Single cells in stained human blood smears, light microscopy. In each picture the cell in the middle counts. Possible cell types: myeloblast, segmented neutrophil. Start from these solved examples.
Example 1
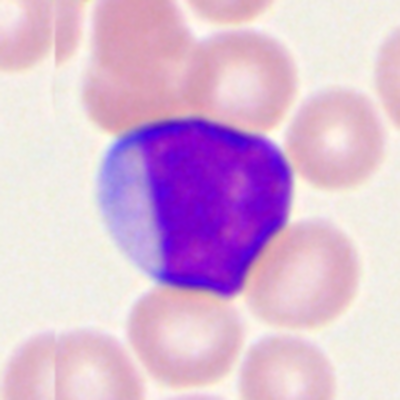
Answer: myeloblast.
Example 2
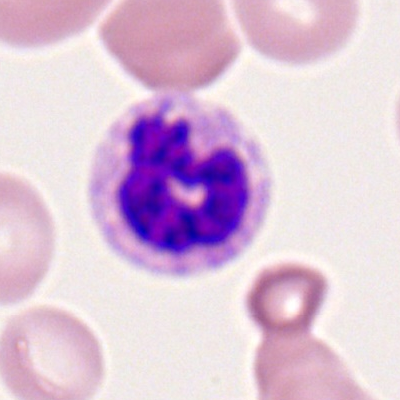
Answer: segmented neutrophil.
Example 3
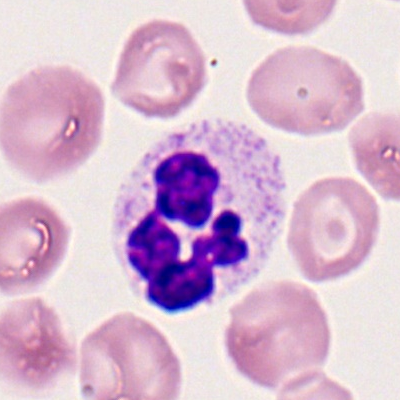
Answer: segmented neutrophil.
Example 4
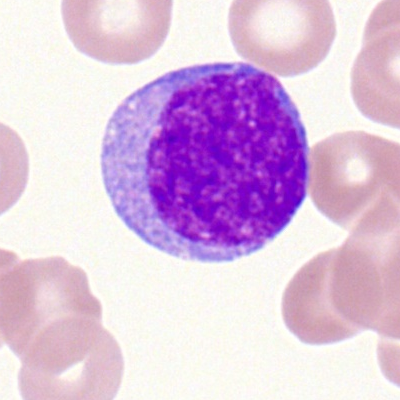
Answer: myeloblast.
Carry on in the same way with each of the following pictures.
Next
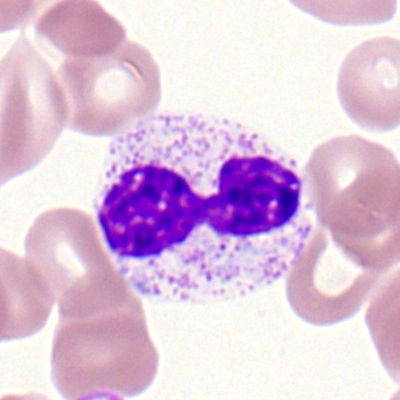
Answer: segmented neutrophil.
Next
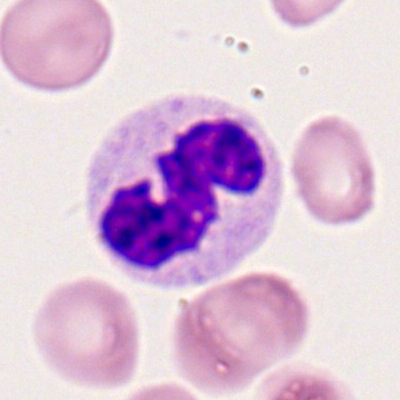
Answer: segmented neutrophil.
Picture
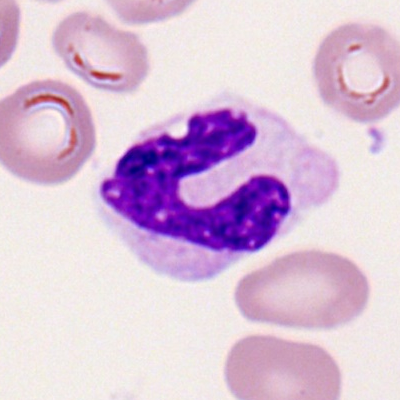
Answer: segmented neutrophil.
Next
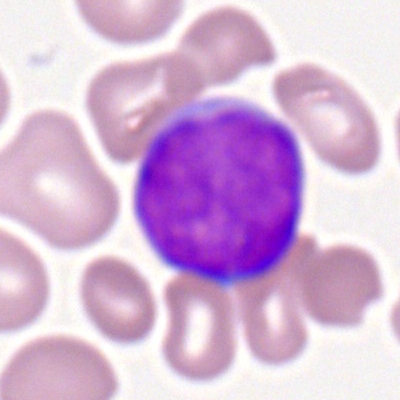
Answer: myeloblast.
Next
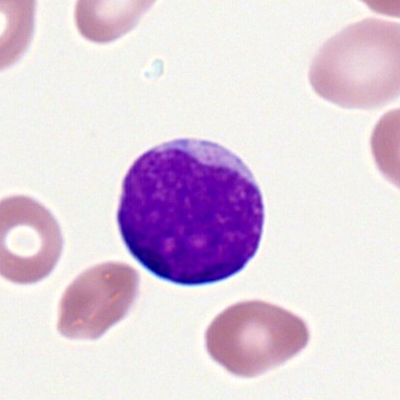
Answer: myeloblast.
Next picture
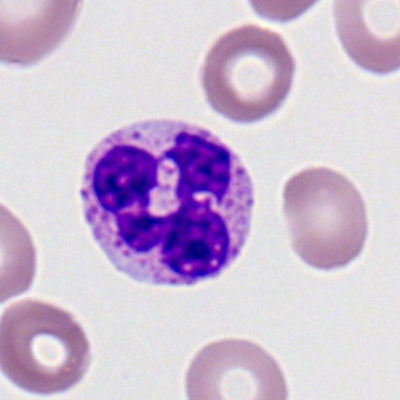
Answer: segmented neutrophil.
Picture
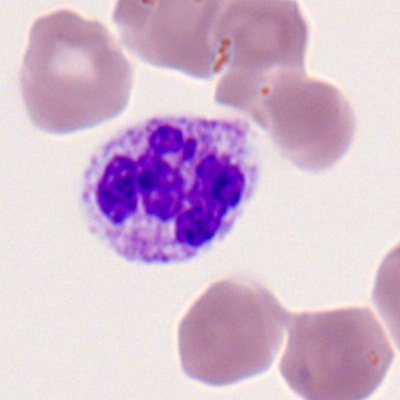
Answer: segmented neutrophil.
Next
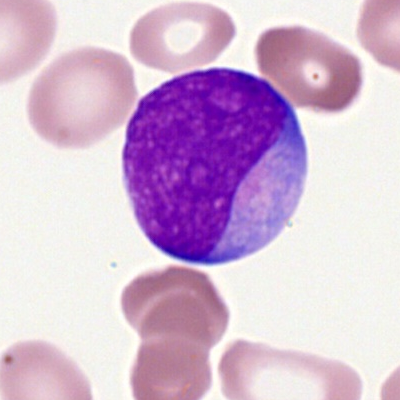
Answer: myeloblast.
